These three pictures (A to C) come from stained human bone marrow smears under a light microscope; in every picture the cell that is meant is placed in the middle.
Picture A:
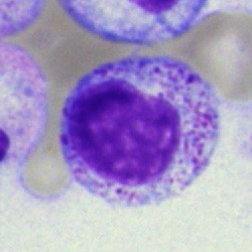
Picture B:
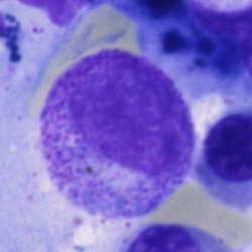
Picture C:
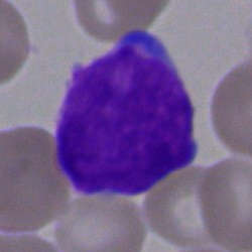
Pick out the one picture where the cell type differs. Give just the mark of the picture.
C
